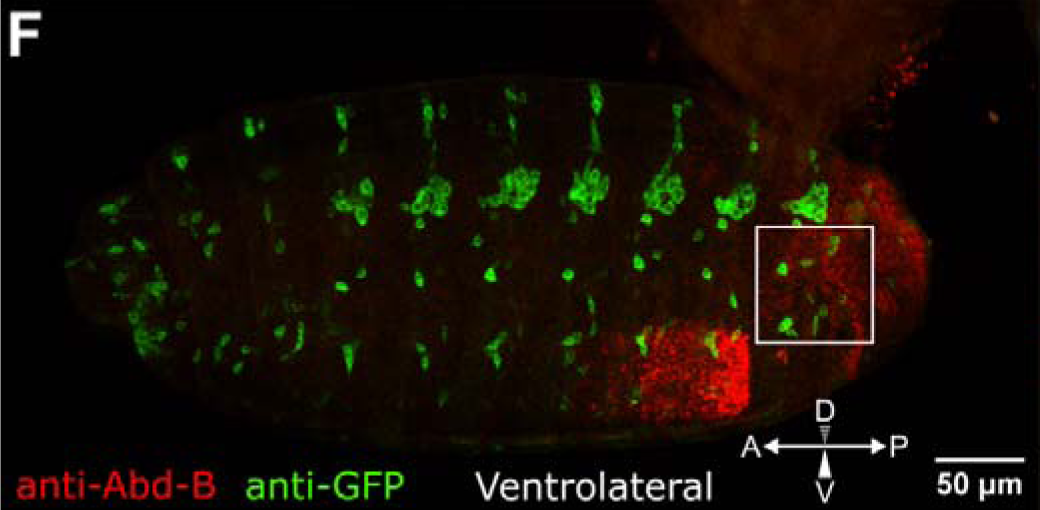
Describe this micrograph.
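A whole embryo seen from the side, with segmentally repeated clusters of green peripheral sensory neurons, including compact lateral clusters and smaller ventral groups with thin processes. Red nuclear label is confined to the posterior end of the embryo, densest in a block of cells at the posterior ventral region and weaker over the hindmost segments, while the anterior segments lack red.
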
